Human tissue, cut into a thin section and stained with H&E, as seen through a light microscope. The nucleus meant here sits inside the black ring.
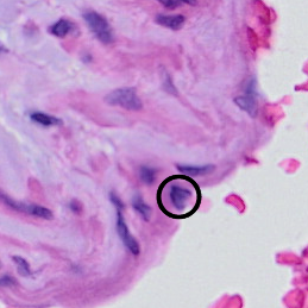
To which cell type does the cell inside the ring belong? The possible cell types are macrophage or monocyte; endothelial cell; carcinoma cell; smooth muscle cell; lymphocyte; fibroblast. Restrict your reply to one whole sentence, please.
The expected answer is simply that the cell inside the ring is an endothelial cell.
